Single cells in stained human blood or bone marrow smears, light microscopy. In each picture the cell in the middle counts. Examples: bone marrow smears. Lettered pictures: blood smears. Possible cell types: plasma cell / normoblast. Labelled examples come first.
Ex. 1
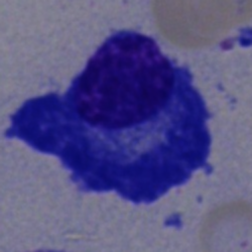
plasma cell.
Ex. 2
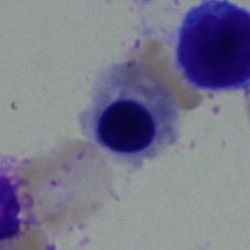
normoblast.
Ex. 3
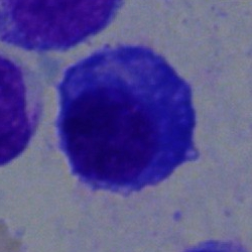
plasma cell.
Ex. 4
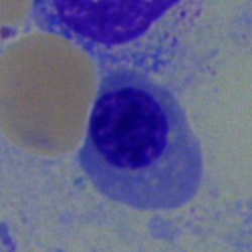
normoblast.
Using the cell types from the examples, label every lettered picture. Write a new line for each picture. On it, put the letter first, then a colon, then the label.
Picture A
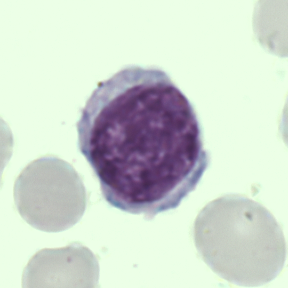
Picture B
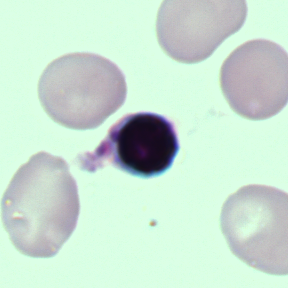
A: plasma cell.
B: normoblast.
